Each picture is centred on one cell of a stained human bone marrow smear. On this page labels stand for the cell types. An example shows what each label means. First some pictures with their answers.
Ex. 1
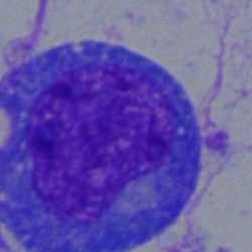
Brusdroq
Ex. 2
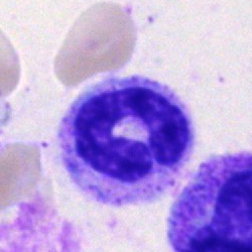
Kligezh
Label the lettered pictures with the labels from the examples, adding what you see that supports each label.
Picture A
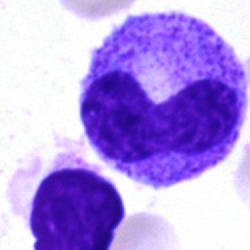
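Kligezh. Fine purple granules are scattered throughout the cytoplasm.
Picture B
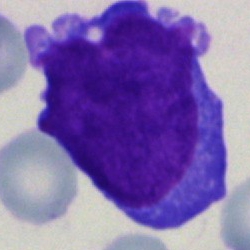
Brusdroq. The chromatin is finely granular rather than coarsely clumped.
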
